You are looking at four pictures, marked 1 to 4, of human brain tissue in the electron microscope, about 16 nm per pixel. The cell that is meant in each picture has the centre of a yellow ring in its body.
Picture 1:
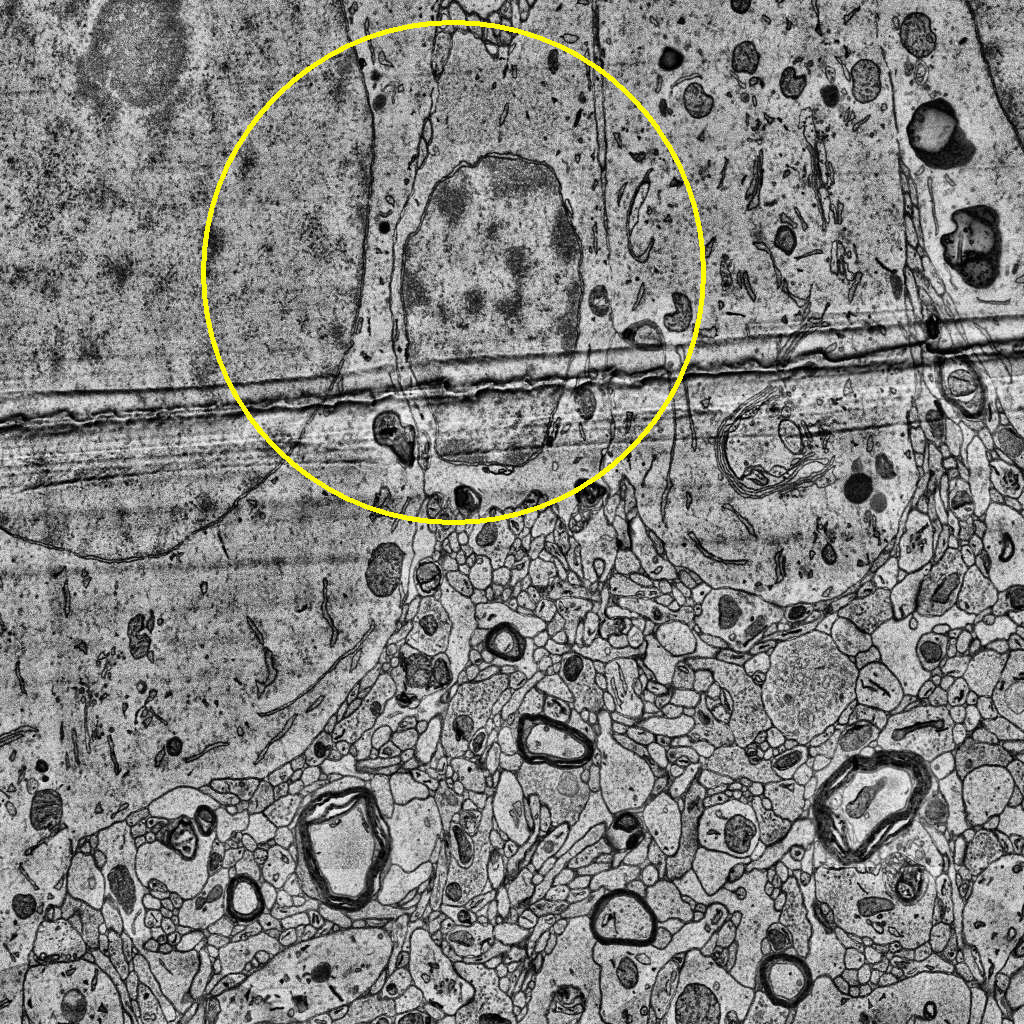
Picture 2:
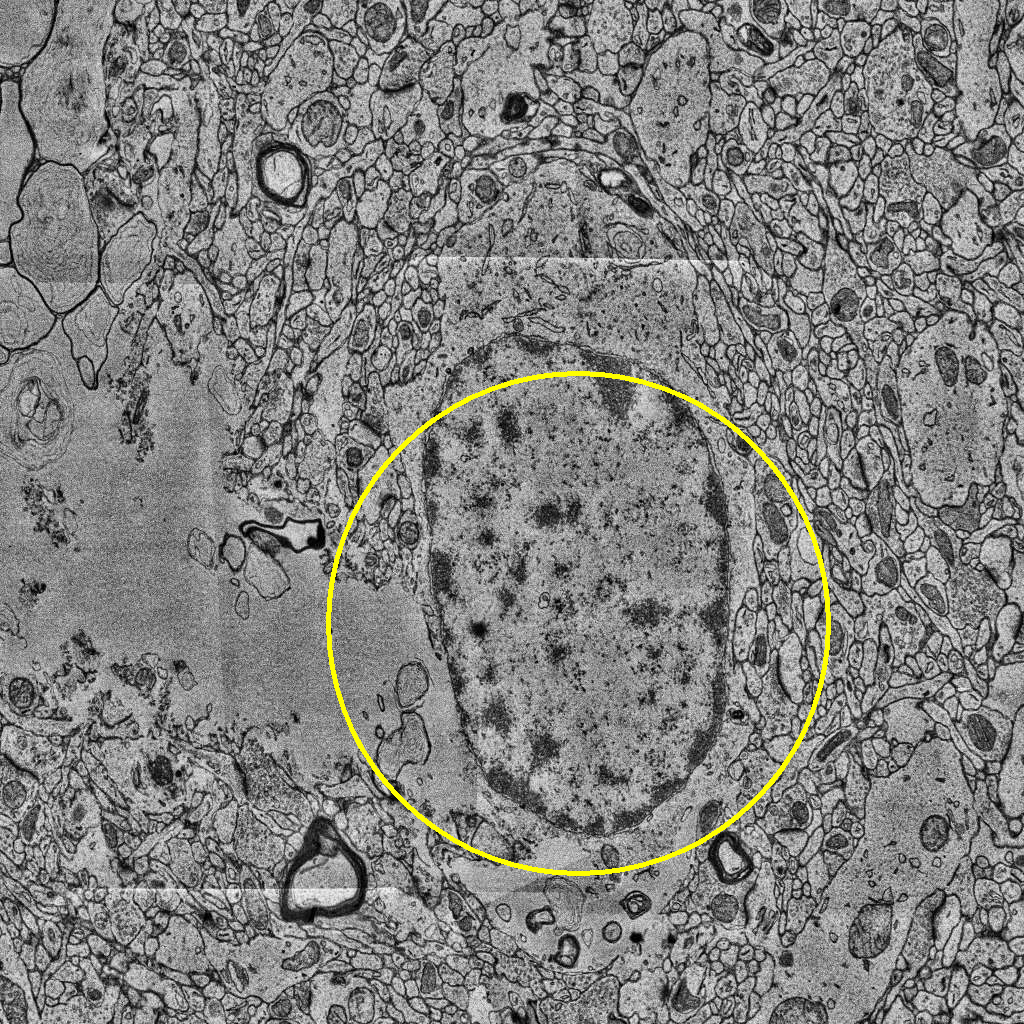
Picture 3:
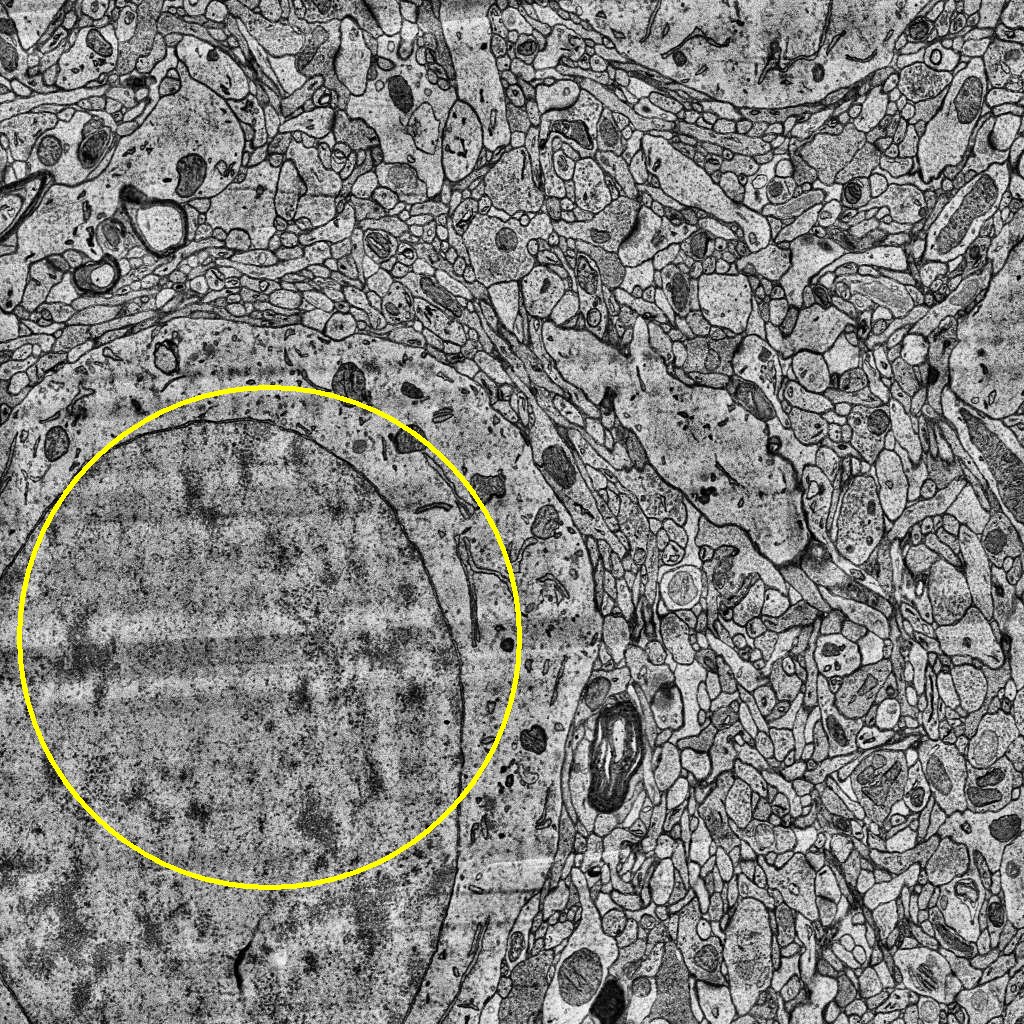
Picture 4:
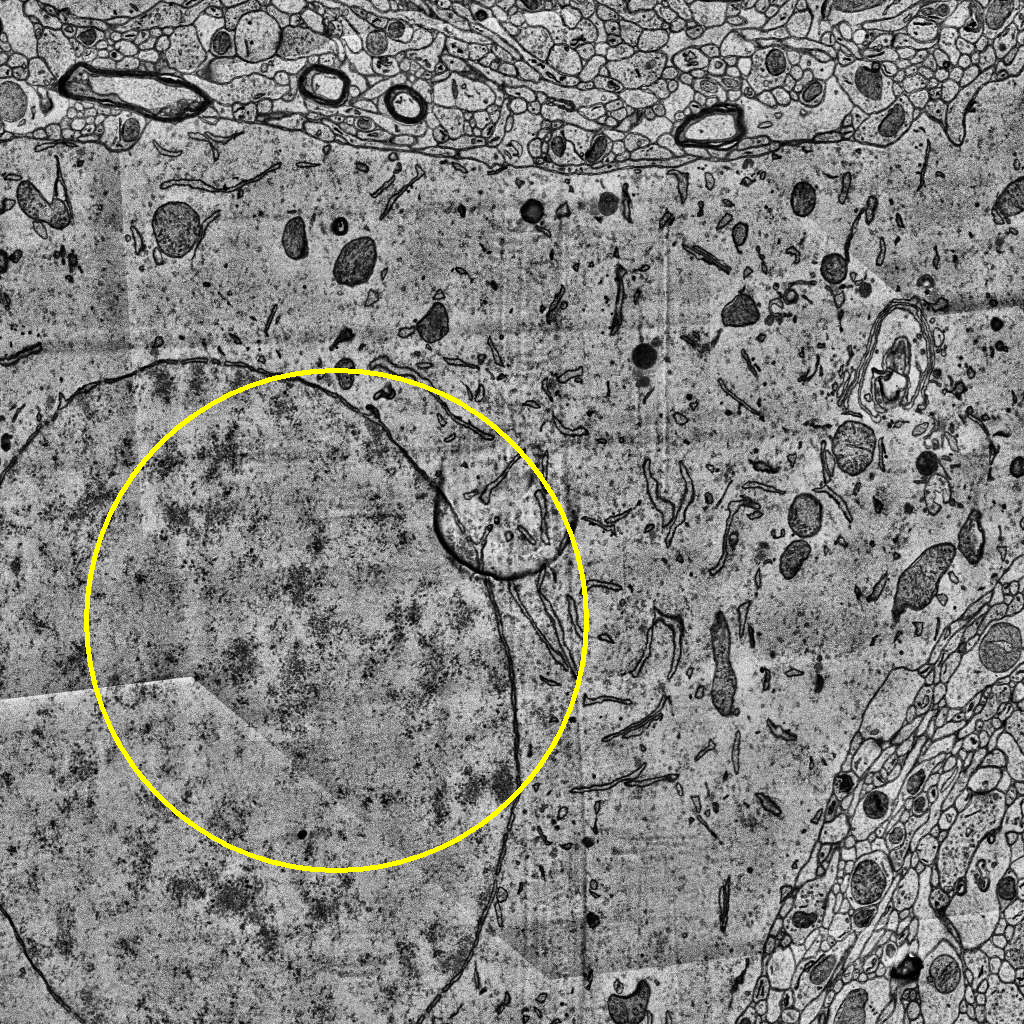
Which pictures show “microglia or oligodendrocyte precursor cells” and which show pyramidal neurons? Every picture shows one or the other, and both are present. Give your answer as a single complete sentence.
Pictures 1 and 2 show “microglia or oligodendrocyte precursor cells”; pictures 3 and 4 show pyramidal neurons.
